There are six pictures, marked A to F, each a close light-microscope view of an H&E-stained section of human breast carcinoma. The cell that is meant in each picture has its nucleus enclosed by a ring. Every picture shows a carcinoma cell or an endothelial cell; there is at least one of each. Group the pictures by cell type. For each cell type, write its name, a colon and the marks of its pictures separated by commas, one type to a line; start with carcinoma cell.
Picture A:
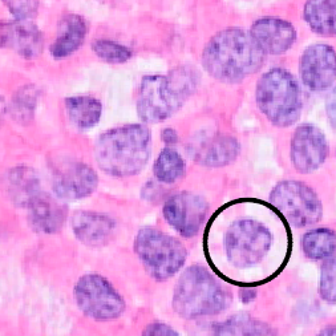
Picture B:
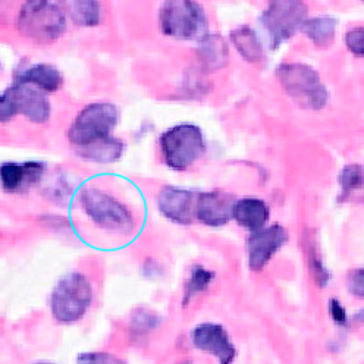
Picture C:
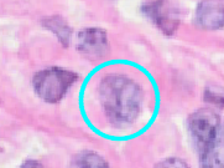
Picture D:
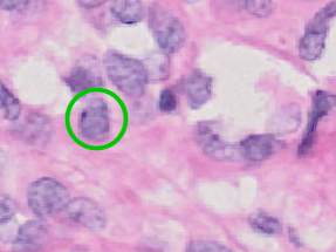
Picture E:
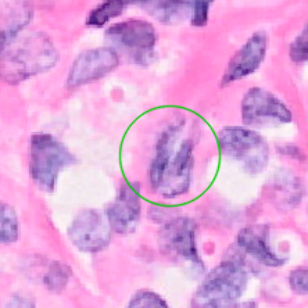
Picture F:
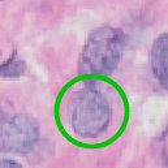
carcinoma cell: A, C, D, F
endothelial cell: B, E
